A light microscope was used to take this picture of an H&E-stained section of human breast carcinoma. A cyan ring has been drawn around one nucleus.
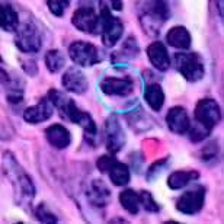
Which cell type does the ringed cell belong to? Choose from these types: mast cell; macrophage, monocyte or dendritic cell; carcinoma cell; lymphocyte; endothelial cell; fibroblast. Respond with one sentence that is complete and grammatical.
Histopathologically, the ringed cell is a lymphocyte.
